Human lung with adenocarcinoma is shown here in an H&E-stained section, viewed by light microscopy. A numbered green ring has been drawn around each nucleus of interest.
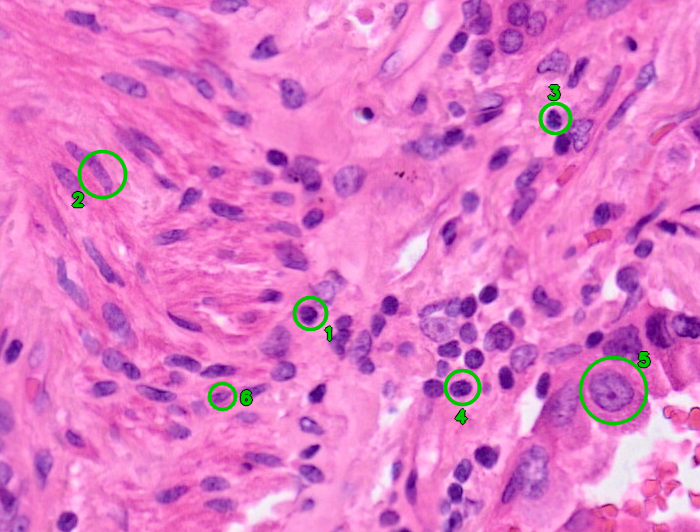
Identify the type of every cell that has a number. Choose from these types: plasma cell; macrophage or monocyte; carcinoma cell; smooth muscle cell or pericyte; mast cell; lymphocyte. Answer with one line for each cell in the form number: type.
1: lymphocyte
2: smooth muscle cell or pericyte
3: lymphocyte
4: lymphocyte
5: carcinoma cell
6: smooth muscle cell or pericyte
